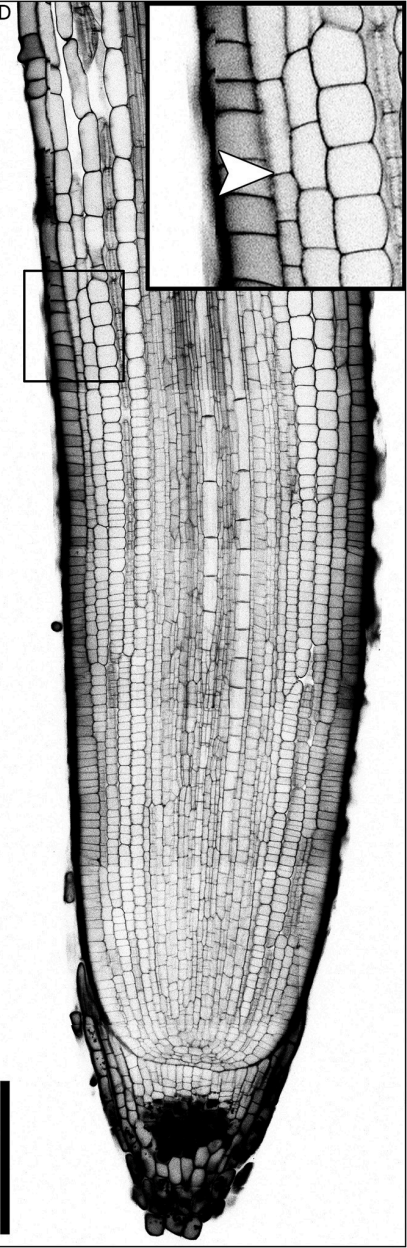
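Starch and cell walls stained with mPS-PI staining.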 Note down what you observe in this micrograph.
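At the bottom, a cap of rounded cells with dense dark contents covers the tip, and loose cap cells are shed along the flanks. Above it, many parallel files of small, near-rectangular cells fill the meristem, radiating from a small centre just above the cap. The central cylinder has narrow, long cells. The outer cortical files have wider cells that become larger and longer towards the top. A boxed region on the flank, enlarged in the inset, marks where the outer files change from short to longer cells.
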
